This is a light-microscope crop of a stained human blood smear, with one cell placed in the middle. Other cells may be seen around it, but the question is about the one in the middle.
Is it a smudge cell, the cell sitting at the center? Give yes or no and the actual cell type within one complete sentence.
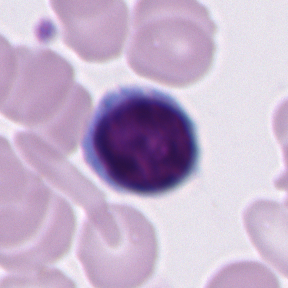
No, it is not a smudge cell that lies in the middle but a typical lymphocyte.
